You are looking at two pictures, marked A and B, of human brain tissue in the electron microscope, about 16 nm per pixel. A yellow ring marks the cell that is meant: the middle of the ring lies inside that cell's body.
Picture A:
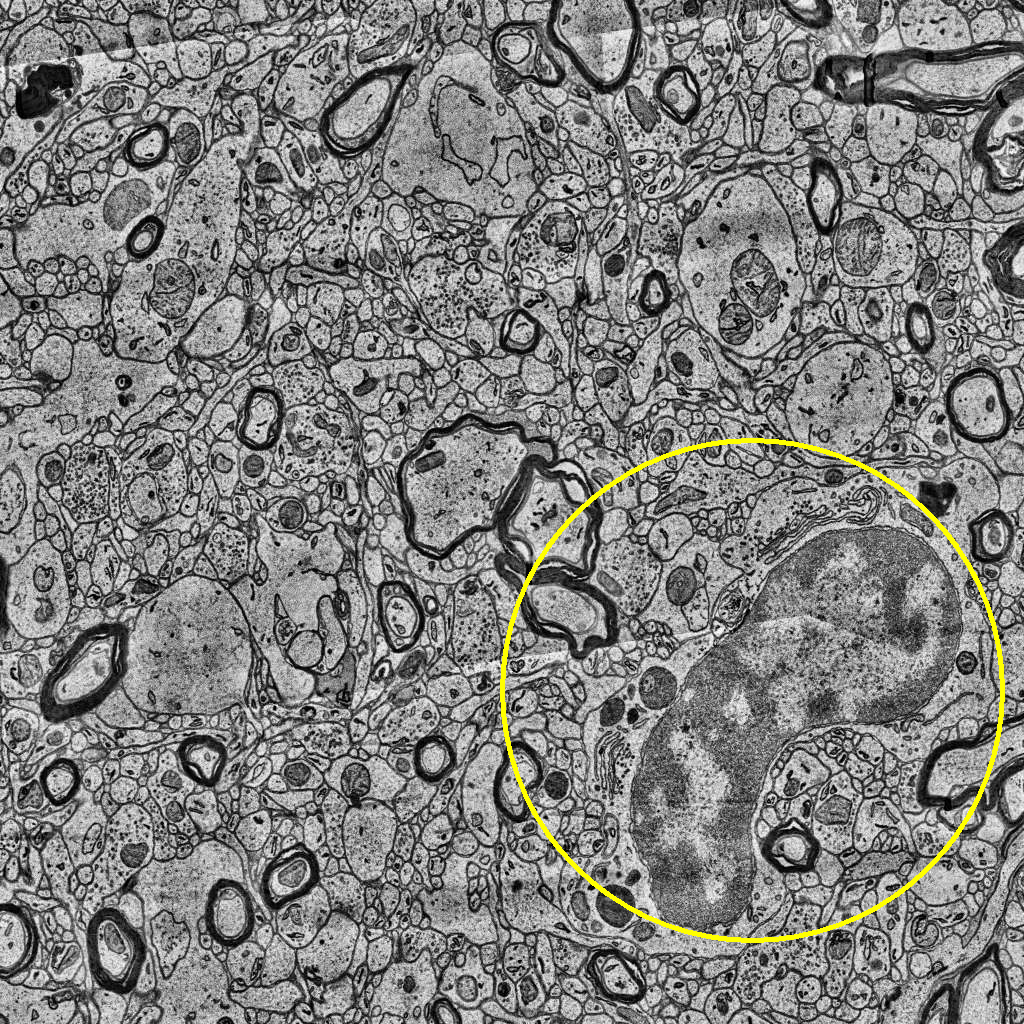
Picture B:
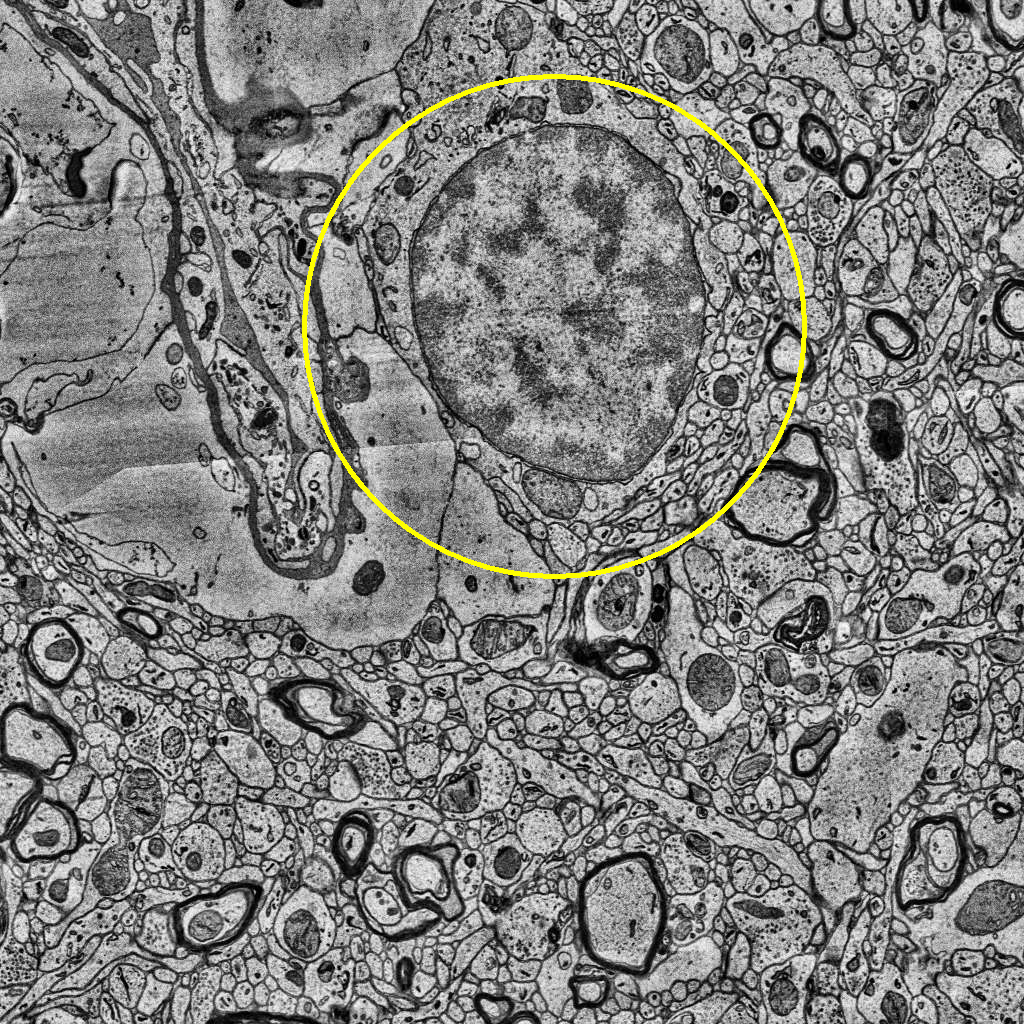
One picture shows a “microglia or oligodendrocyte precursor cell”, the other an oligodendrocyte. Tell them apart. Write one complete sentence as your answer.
Picture B shows an oligodendrocyte, while picture A shows a “microglia or oligodendrocyte precursor cell”.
